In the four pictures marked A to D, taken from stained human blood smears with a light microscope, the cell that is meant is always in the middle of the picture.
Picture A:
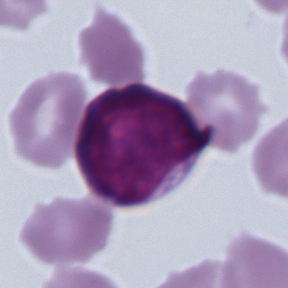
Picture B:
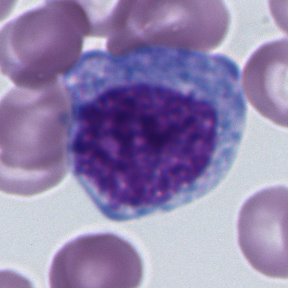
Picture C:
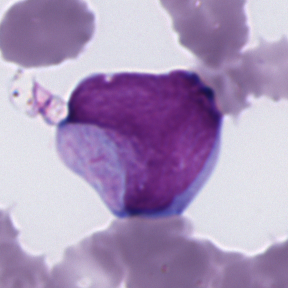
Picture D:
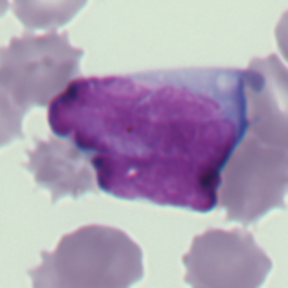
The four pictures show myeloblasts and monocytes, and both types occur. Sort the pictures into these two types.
A: myeloblast
B: monocyte
C: myeloblast
D: myeloblast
